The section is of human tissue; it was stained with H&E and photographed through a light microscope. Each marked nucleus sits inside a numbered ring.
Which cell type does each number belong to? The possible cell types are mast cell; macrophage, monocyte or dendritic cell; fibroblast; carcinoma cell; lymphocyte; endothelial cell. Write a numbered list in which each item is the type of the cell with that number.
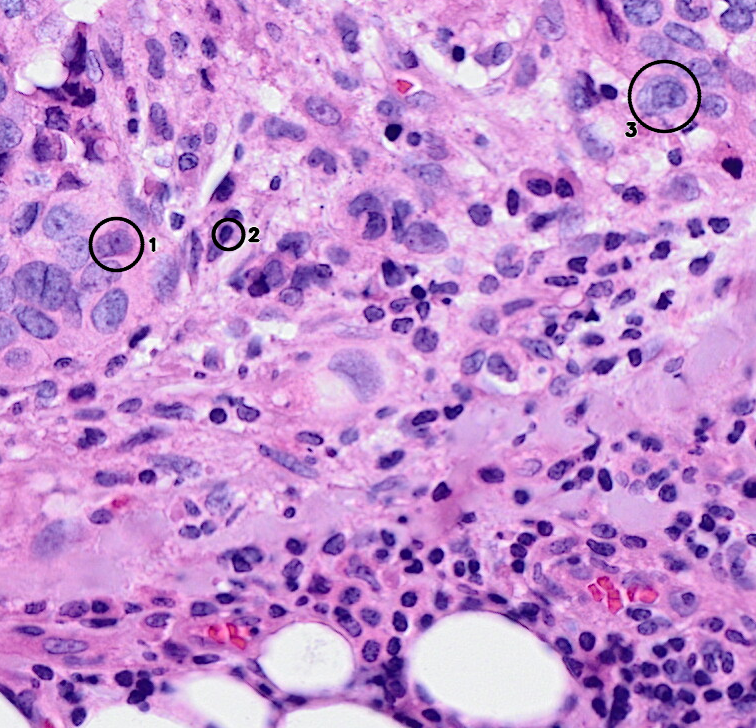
1. carcinoma cell
2. lymphocyte
3. carcinoma cell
